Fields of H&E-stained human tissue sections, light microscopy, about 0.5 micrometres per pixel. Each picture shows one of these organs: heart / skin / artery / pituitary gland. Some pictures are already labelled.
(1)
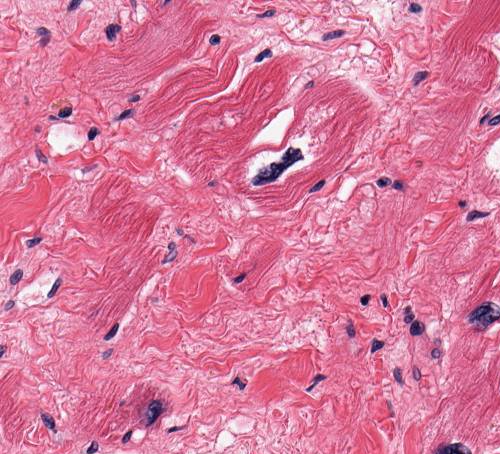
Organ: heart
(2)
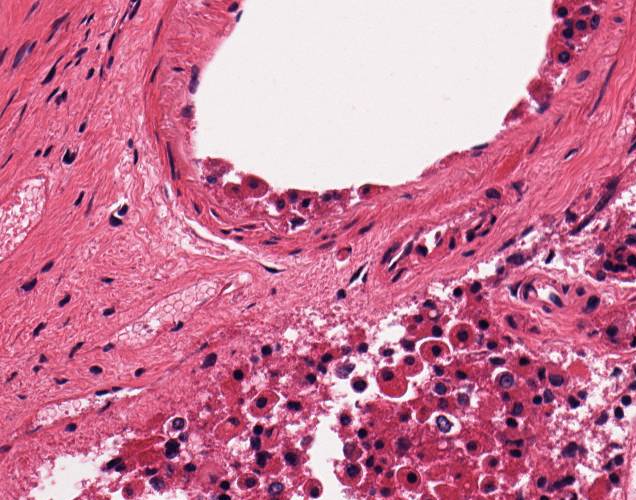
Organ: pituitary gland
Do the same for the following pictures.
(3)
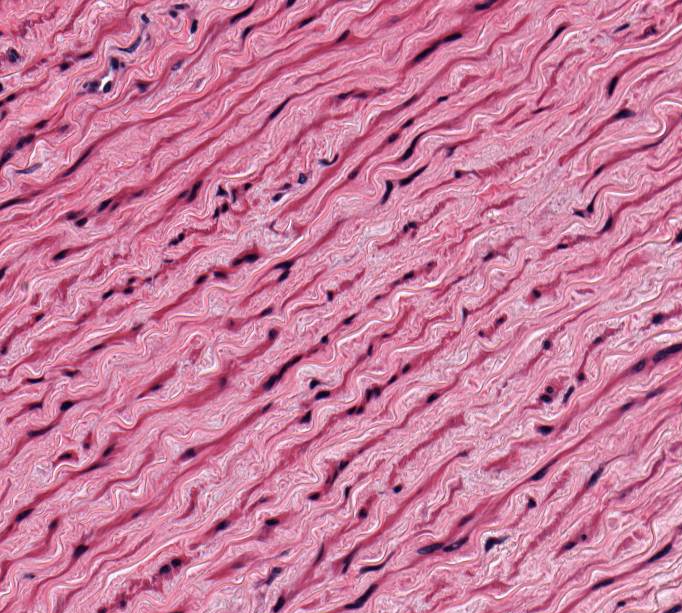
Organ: artery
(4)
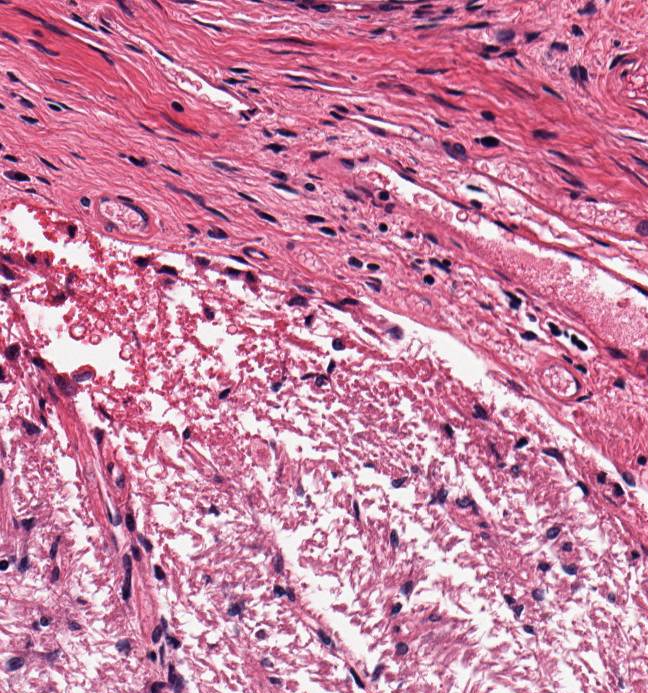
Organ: pituitary gland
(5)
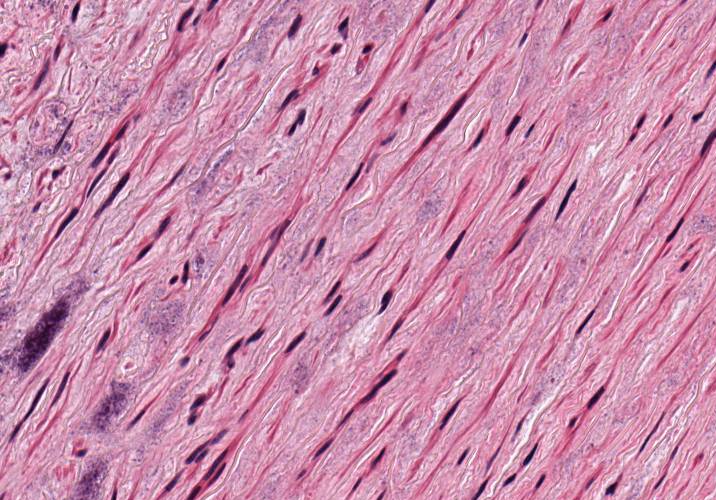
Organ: artery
